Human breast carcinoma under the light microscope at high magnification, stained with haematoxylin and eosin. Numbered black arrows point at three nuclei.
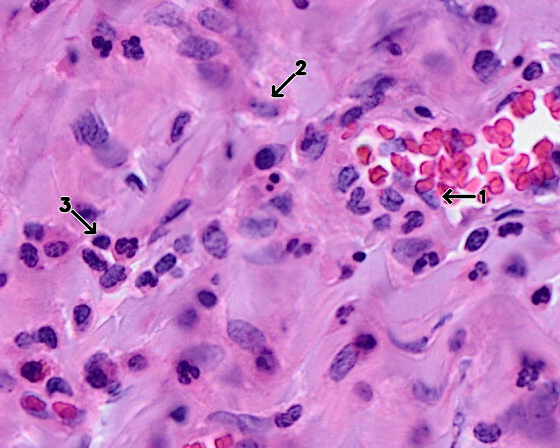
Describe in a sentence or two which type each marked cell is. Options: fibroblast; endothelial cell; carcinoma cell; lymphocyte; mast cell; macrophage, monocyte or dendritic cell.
Cell 1 is an endothelial cell, cell 2 is a mast cell and cell 3 is a lymphocyte.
